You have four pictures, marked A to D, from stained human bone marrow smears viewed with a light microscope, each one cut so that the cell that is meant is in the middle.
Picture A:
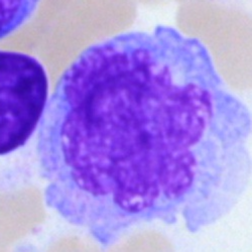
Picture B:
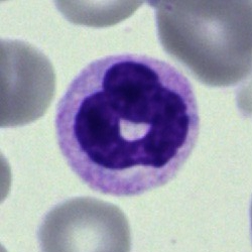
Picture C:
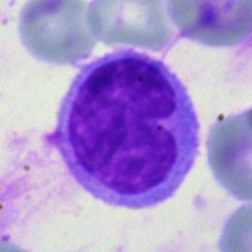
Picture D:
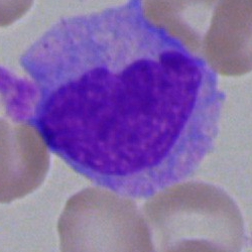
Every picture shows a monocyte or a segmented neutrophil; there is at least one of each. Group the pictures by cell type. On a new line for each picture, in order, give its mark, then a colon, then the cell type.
A: monocyte
B: segmented neutrophil
C: monocyte
D: monocyte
